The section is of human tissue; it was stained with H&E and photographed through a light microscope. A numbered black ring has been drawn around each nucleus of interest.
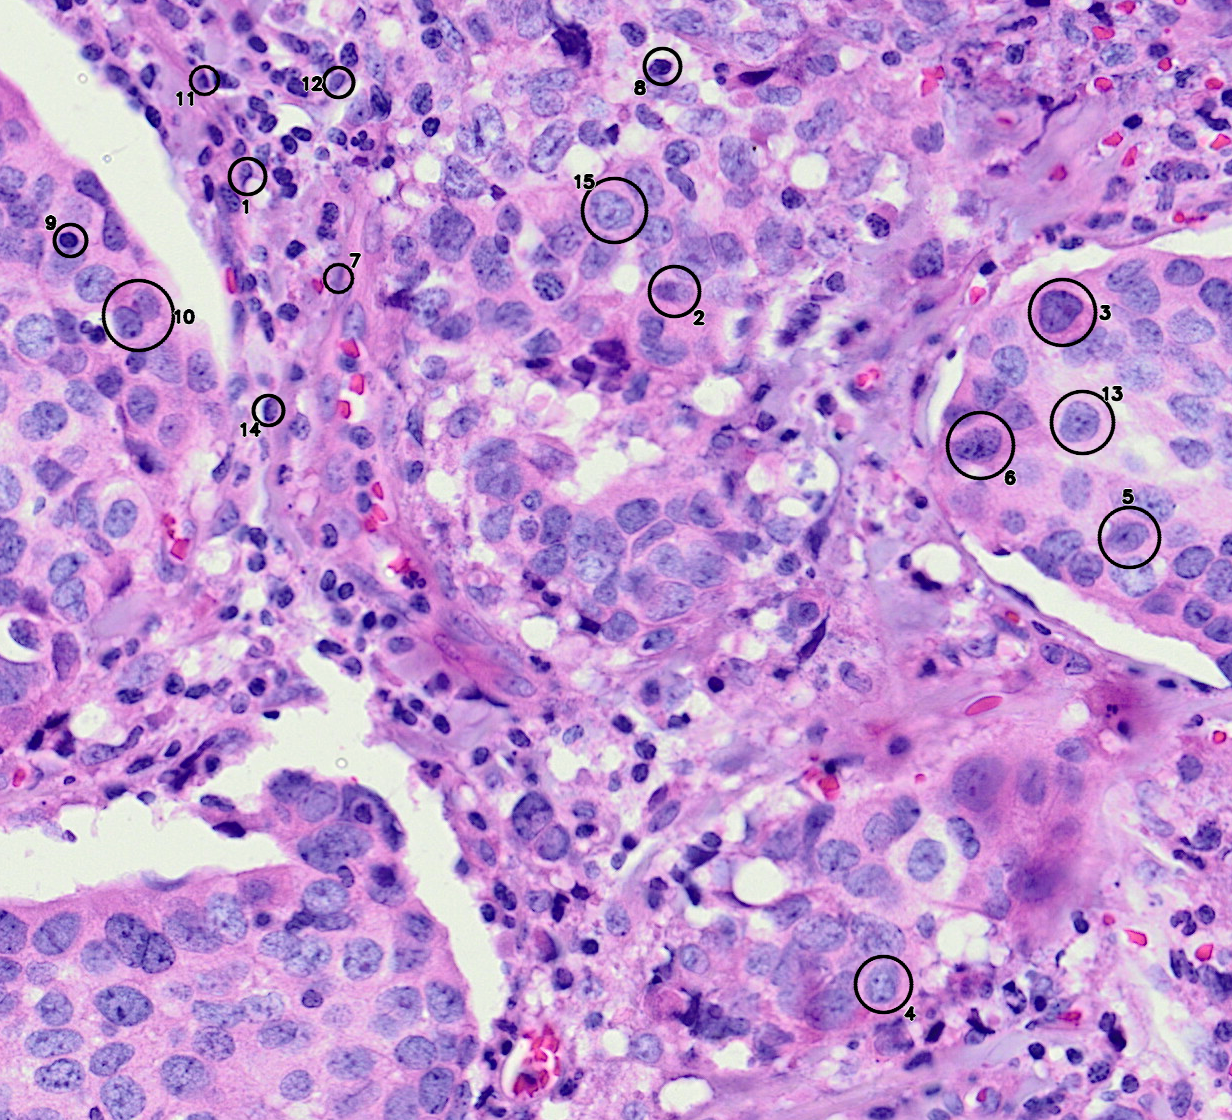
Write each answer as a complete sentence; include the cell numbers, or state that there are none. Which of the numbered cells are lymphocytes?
The cells bearing the numbers 1, 8, 9, 11, 12 and 14 are lymphocytes.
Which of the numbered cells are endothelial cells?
The only cell among those numbered to be an endothelial cell is number 7.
